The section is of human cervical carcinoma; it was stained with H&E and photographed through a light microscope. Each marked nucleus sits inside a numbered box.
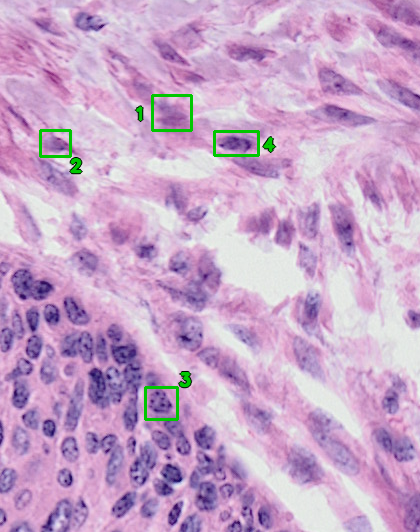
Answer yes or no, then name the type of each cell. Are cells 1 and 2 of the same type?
Yes, fibroblasts are what cells 1 and 2 both are.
